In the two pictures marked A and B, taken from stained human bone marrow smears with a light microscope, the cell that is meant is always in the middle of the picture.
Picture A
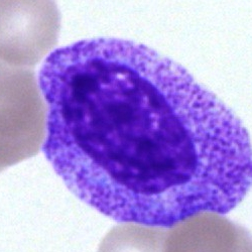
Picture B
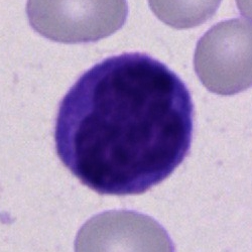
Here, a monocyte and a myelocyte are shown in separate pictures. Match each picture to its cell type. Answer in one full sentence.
Picture B shows a monocyte, while picture A shows a myelocyte.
